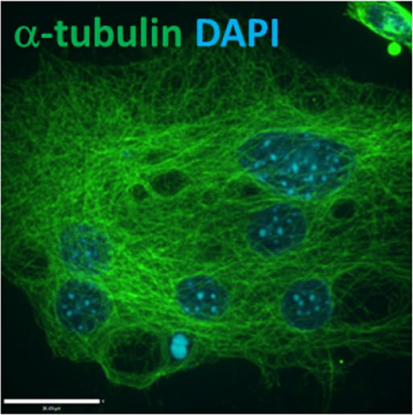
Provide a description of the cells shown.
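The nuclei are blue and carry small bright dots of dense chromatin. A small, bright, compact nucleus lies separately at the lower edge of the large cell.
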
